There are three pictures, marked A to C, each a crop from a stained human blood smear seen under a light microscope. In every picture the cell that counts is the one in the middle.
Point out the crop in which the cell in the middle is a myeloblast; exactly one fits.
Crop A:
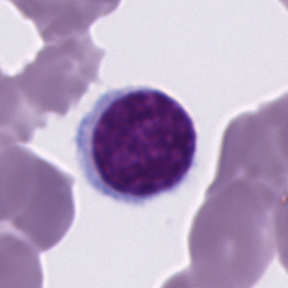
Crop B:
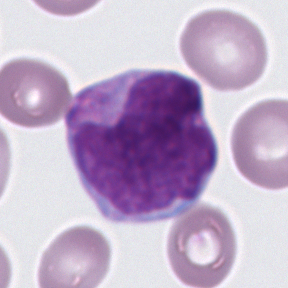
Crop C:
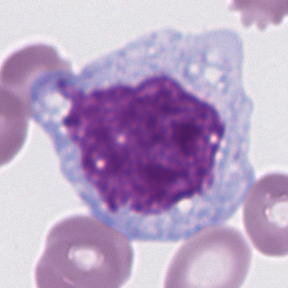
C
